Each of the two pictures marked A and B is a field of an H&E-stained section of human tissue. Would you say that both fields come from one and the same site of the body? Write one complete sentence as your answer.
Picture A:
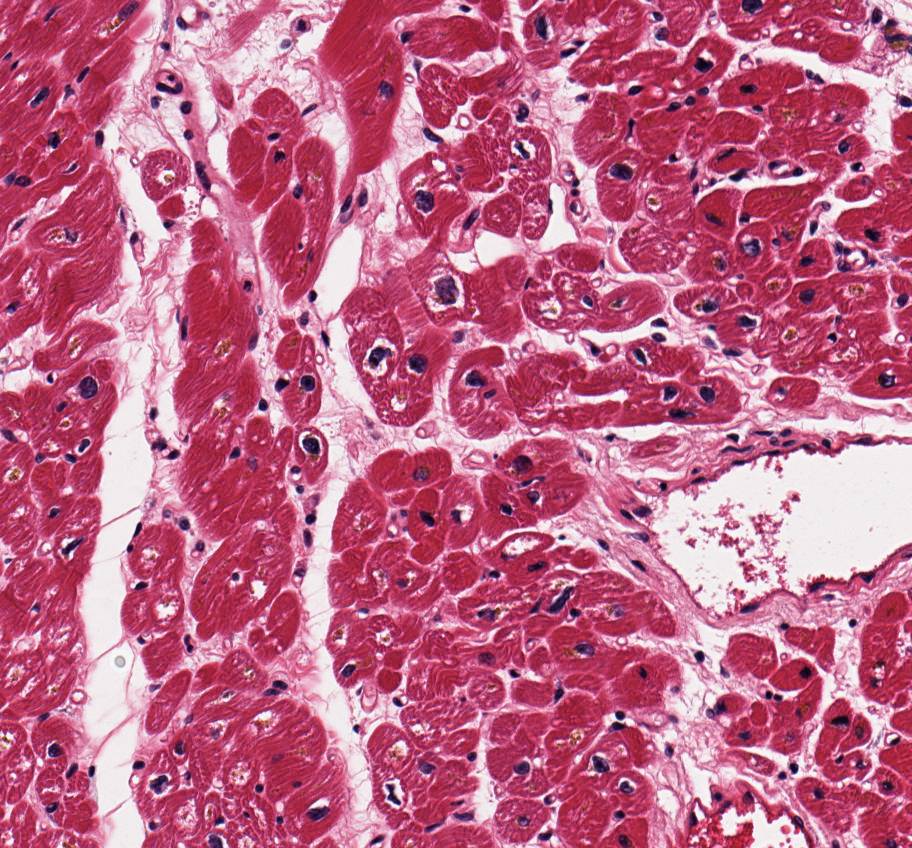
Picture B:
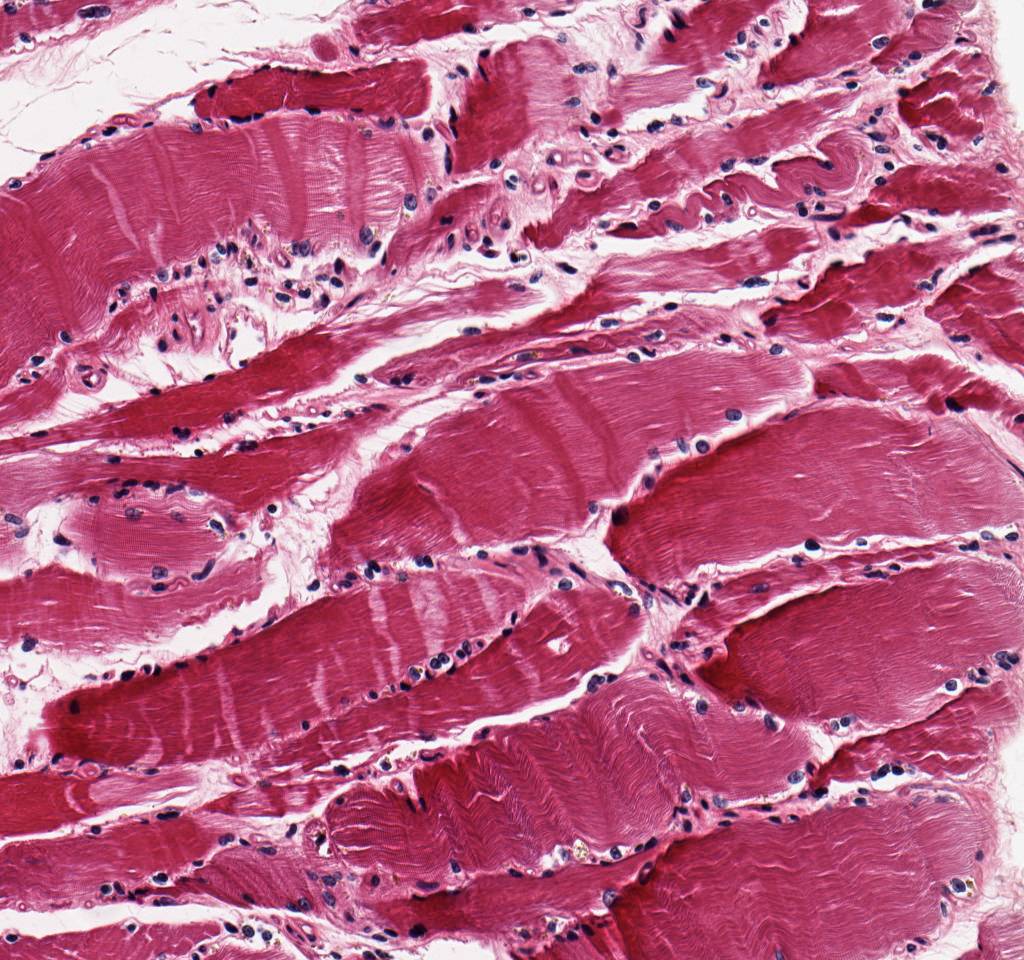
No, picture A comes from the left ventricle of the heart and picture B comes from skeletal muscle.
